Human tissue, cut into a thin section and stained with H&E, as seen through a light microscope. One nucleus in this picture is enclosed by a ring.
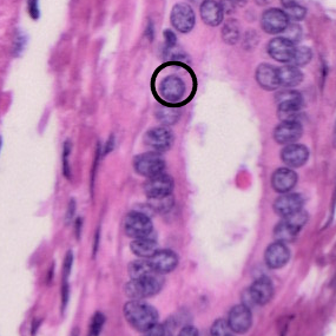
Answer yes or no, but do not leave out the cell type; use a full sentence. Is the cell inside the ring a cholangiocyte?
Yes, the cell inside the ring is assigned the identity of a cholangiocyte.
